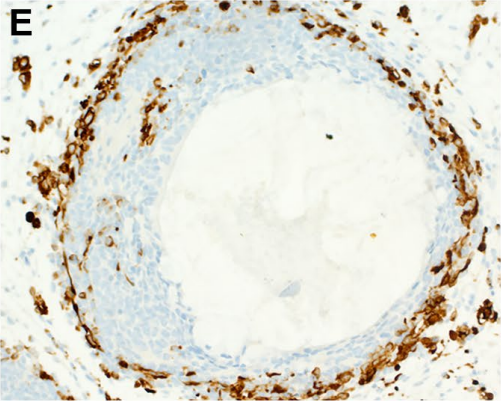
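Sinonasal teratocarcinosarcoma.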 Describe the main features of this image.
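This shows a rounded tumor nest around a central pale lumen containing faint mucoid material. The lumen is ringed by a broad zone of small, crowded, unstained cells with bluish nuclei. A few scattered brown cells also lie in the looser tissue beyond this ring. The contrast between the unstained inner cuff and the brown outer rim marks the nest's layered organization.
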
